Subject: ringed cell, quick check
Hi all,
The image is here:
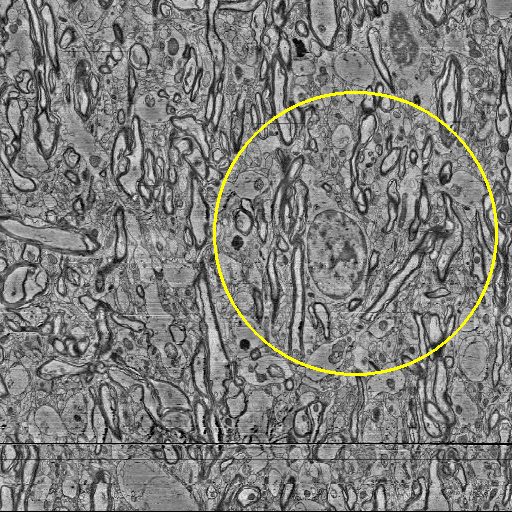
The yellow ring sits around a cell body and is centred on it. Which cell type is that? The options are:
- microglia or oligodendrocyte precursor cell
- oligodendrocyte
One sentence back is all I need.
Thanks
That ringed cell is a microglial cell or oligodendrocyte precursor cell.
